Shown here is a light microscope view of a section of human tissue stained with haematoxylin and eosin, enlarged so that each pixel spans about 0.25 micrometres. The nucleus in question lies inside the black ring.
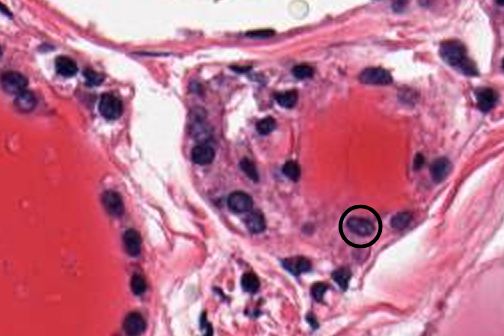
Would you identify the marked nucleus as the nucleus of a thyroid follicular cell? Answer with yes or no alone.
yes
